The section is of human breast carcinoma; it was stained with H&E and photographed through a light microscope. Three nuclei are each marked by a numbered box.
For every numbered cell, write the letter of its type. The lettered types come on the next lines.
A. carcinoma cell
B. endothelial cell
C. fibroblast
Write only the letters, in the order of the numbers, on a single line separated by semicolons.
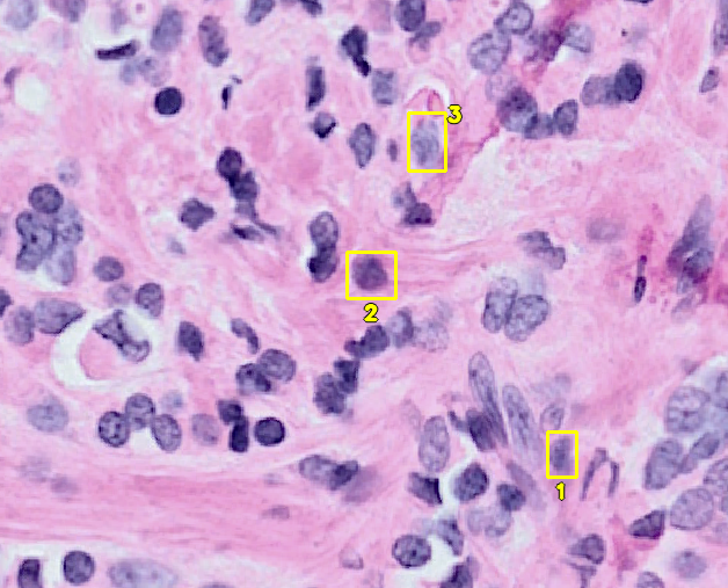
B; A; B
